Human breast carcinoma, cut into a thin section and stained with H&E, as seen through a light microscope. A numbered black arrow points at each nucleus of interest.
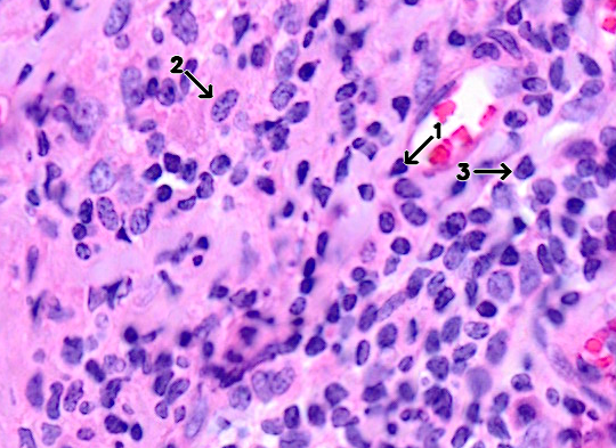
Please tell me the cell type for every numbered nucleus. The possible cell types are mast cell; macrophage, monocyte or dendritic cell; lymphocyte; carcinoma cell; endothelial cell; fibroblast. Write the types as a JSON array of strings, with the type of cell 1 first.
["lymphocyte", "mast cell", "lymphocyte"]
